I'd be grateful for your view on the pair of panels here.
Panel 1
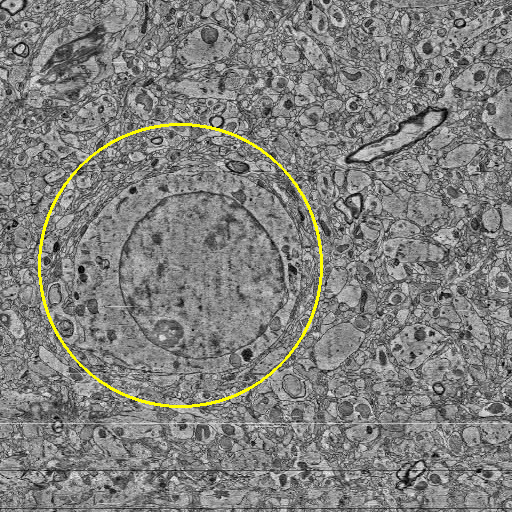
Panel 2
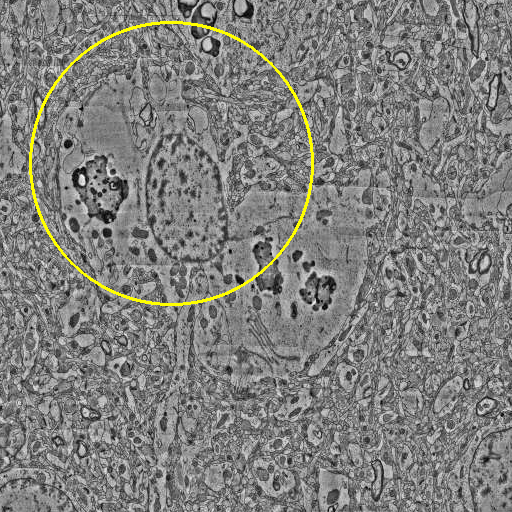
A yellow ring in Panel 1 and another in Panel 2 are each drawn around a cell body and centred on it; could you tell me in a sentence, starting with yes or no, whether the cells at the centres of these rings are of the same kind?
No, they are two kinds of cell.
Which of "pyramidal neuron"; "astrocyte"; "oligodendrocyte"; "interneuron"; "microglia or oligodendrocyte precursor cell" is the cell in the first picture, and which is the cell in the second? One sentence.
The two differ: the first cell is a pyramidal neuron and the second is an astrocyte.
